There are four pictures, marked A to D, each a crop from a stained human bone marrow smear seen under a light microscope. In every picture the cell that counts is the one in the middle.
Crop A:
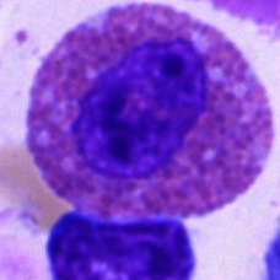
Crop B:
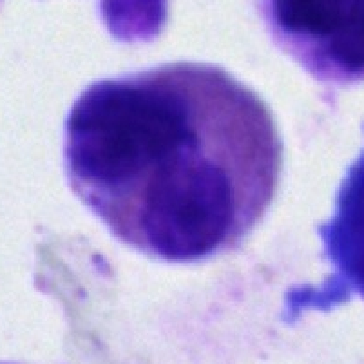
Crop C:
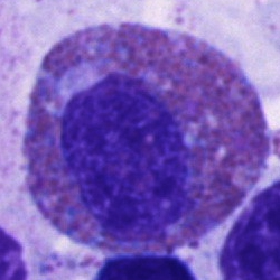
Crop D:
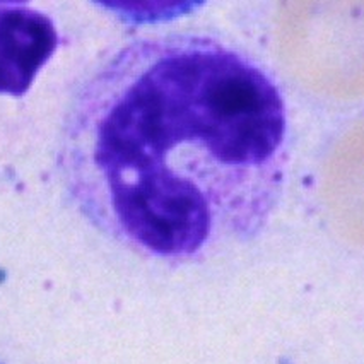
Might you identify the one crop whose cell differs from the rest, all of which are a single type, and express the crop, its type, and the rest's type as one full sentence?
The remaining crops are all eosinophils, so crop D, being a band neutrophil, is the exception.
